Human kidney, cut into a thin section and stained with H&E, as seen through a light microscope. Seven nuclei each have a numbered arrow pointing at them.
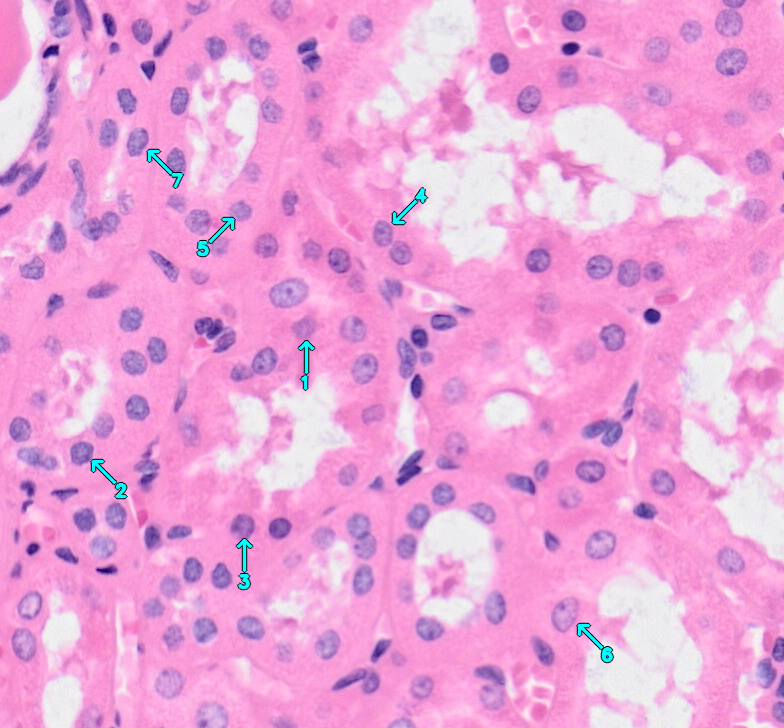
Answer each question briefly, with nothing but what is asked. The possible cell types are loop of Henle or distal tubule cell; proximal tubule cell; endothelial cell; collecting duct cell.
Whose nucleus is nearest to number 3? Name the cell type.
proximal tubule cell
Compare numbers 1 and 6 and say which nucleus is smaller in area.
1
